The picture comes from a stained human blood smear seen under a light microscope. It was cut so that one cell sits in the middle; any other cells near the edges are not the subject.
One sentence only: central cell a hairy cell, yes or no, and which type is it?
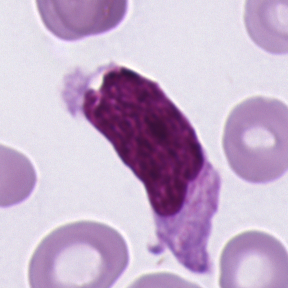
No, the cell in the middle should be called a large granular lymphocyte instead of a hairy cell.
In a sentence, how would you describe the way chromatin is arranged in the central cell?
The chromatin within its nucleus forms coarse clumps.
